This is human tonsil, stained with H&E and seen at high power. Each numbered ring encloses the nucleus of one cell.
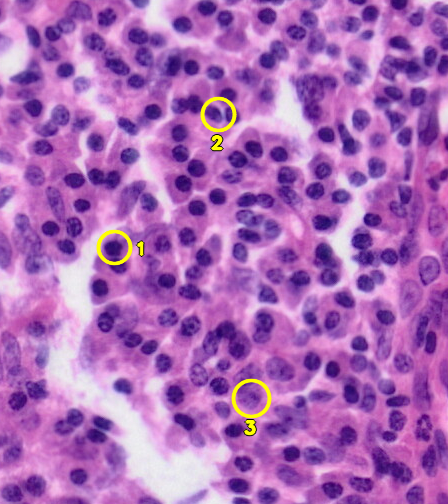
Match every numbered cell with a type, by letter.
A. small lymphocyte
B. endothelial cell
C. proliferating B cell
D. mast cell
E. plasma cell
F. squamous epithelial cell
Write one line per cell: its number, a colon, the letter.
1: E
2: E
3: F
